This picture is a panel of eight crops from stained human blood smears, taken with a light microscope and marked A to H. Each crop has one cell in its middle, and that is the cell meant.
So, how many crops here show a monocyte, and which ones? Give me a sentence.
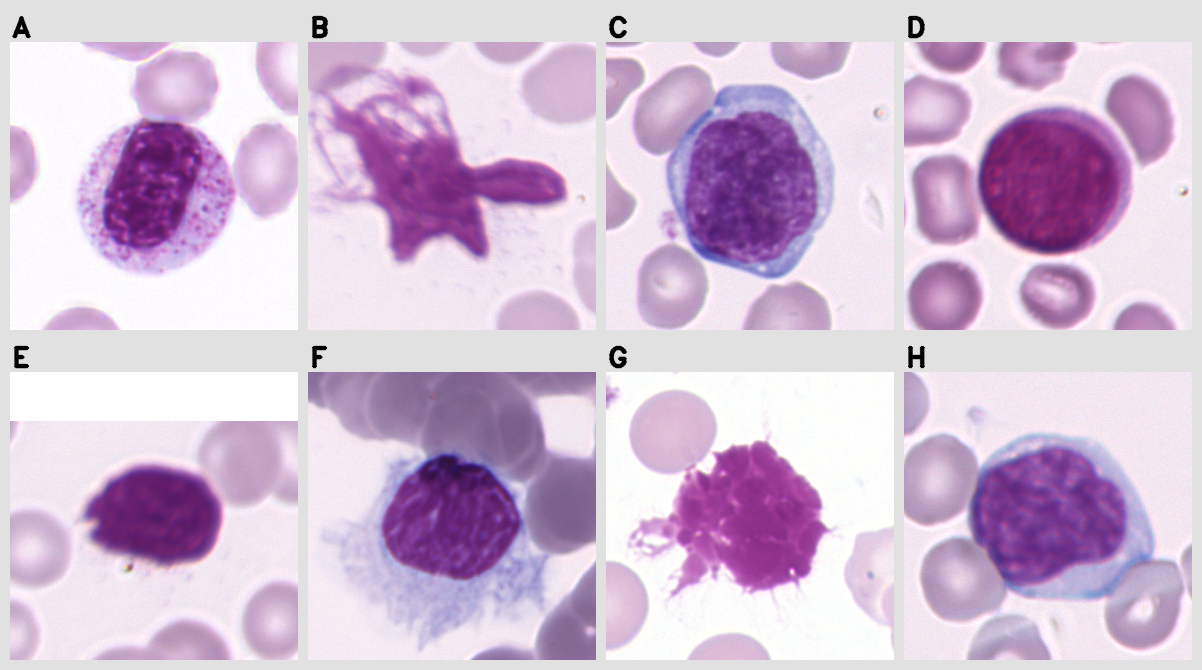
Taken together, the crops contain no monocytes, giving a count of zero.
